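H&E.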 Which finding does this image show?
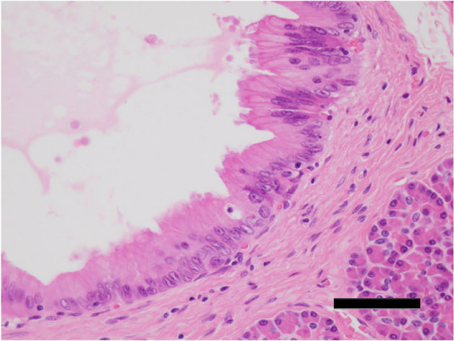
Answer: Pancreatic intraepithelial neoplasia.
